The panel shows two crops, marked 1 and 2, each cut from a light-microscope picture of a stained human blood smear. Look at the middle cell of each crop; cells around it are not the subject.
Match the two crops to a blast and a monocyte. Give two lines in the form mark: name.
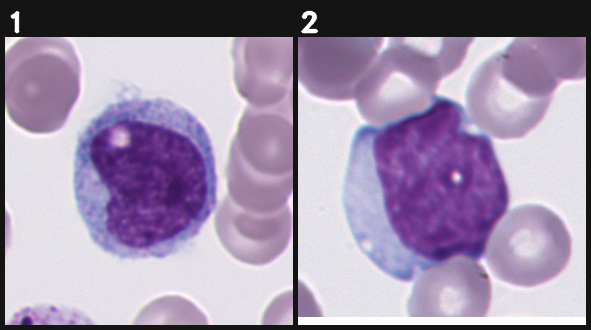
1: monocyte
2: blast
